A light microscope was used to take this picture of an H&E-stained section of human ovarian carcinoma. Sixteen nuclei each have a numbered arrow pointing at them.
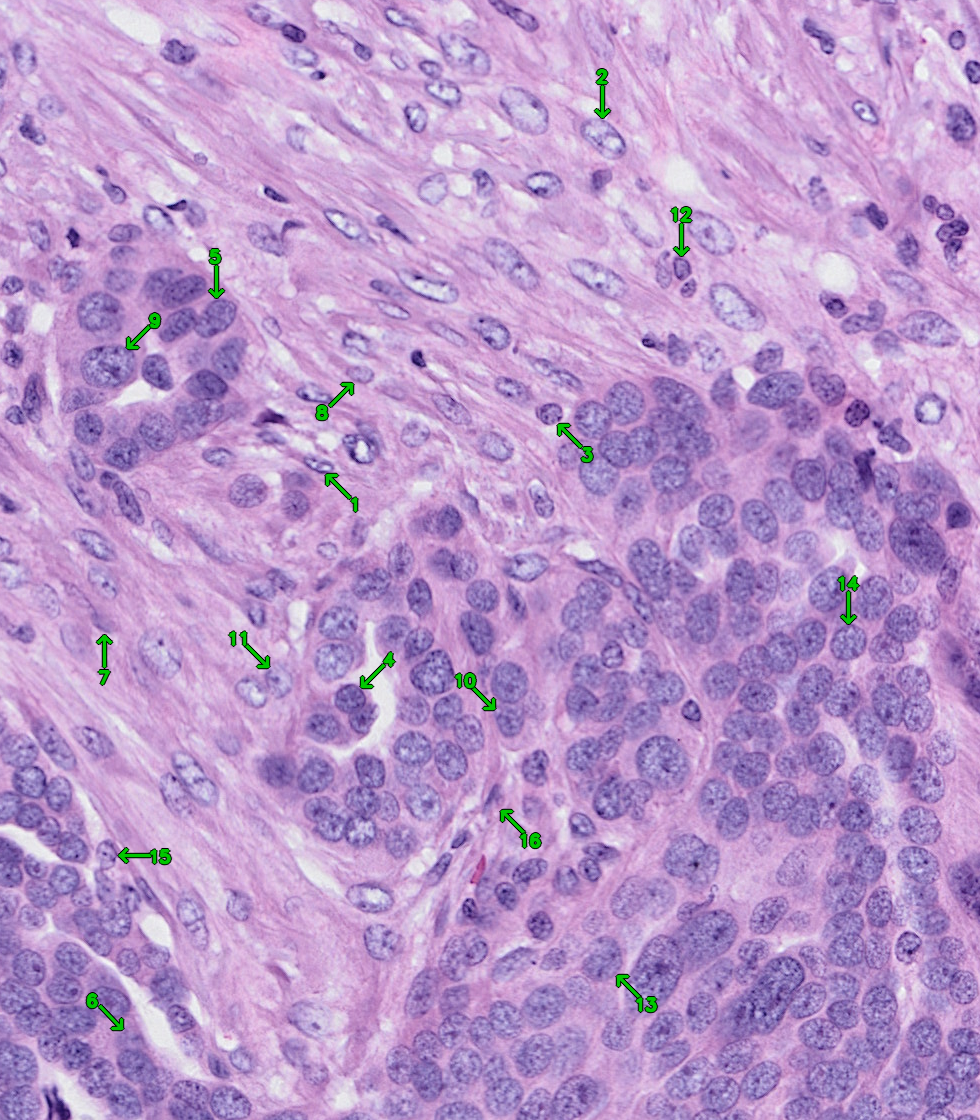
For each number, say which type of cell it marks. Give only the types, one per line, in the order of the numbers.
fibroblast
fibroblast
macrophage or monocyte
carcinoma cell
carcinoma cell
carcinoma cell
fibroblast
fibroblast
carcinoma cell
carcinoma cell
fibroblast
macrophage or monocyte
carcinoma cell
carcinoma cell
macrophage or monocyte
fibroblast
